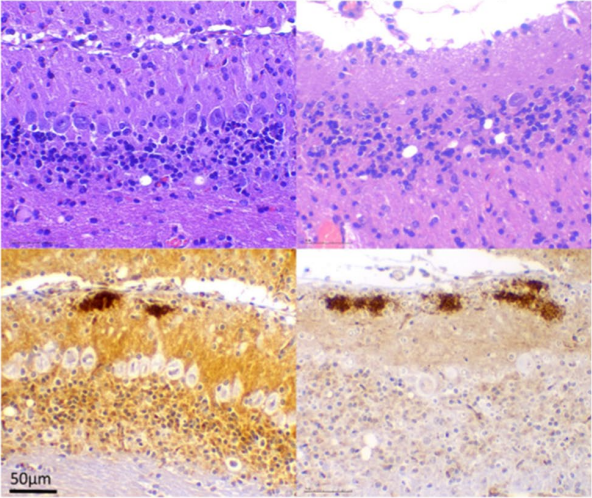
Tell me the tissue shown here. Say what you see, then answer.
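A densely packed layer of small round dark nuclei lies beneath a row of large neuron cell bodies. A paler, sparsely nucleated layer lies toward the surface above the large neurons.
Cerebellar cortex.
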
